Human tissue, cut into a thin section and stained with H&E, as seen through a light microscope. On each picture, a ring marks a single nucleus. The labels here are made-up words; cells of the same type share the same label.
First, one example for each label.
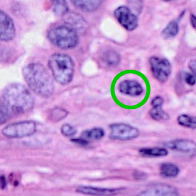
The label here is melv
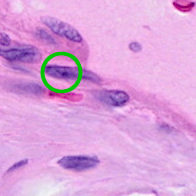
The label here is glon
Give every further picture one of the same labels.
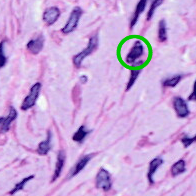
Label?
melv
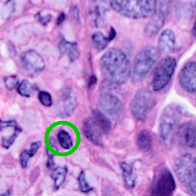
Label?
melv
